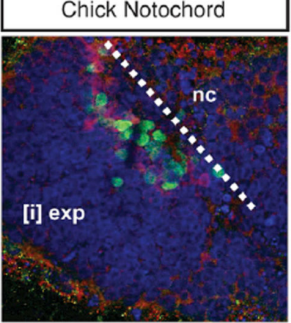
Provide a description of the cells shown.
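Close to the dotted boundary, on the explant side, a cluster of cells shows bright green nuclei. Red-stained cells lie mixed with and around this green cluster, also near the boundary. Farther from the notochord the explant shows mostly blue nuclei only, with some scattered red and green specks along its lower edge.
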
